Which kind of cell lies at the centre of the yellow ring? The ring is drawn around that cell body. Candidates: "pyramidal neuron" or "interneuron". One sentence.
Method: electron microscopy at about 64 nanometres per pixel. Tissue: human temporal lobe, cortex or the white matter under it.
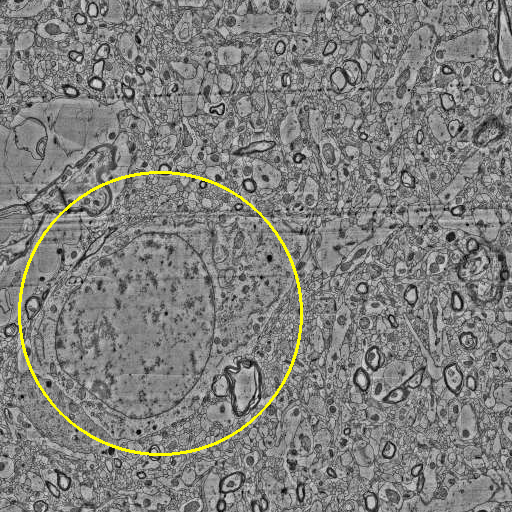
Lying at the centre of the ring is a pyramidal neuron.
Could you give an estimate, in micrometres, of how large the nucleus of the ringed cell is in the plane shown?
About 12 by 10 micrometers, in this plane.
